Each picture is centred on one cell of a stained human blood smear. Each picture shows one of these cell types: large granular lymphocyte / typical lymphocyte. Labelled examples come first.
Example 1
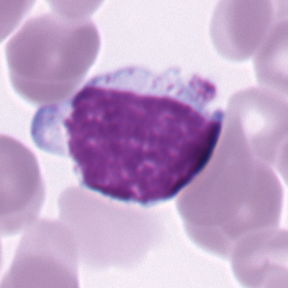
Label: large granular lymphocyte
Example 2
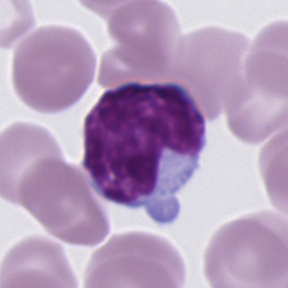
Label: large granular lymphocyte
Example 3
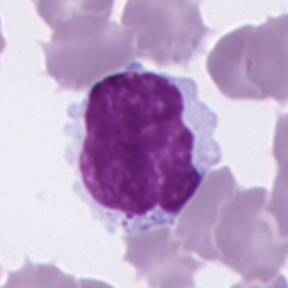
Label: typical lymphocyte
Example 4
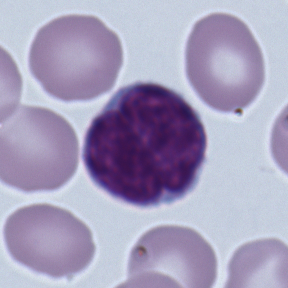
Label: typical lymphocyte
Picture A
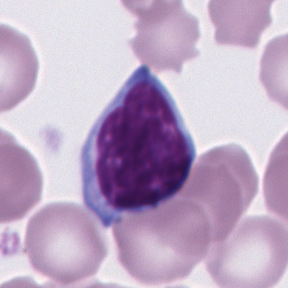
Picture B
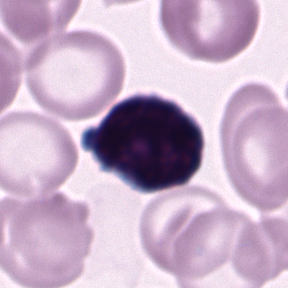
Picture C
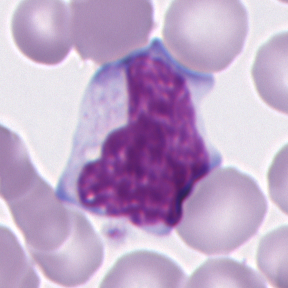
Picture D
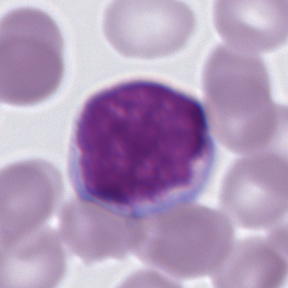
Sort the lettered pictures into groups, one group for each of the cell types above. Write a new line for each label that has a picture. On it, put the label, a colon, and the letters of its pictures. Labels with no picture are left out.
large granular lymphocyte: C, D
typical lymphocyte: A, B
